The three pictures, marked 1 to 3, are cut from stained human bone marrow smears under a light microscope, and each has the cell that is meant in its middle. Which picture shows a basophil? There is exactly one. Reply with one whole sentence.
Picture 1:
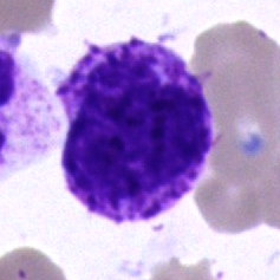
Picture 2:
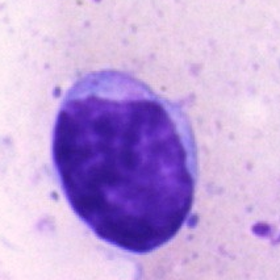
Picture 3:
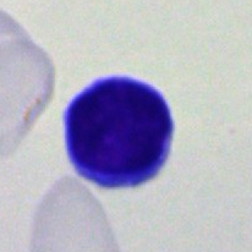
Picture 1 is the one that shows the basophil.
